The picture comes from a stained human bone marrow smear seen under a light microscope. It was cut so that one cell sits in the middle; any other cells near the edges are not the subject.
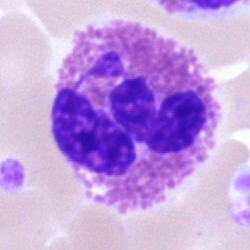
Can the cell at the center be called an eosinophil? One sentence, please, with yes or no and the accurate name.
Yes, it is an eosinophil that occupies the centre of the crop.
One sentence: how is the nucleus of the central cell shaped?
The nucleus has been partitioned into two or more lobes.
